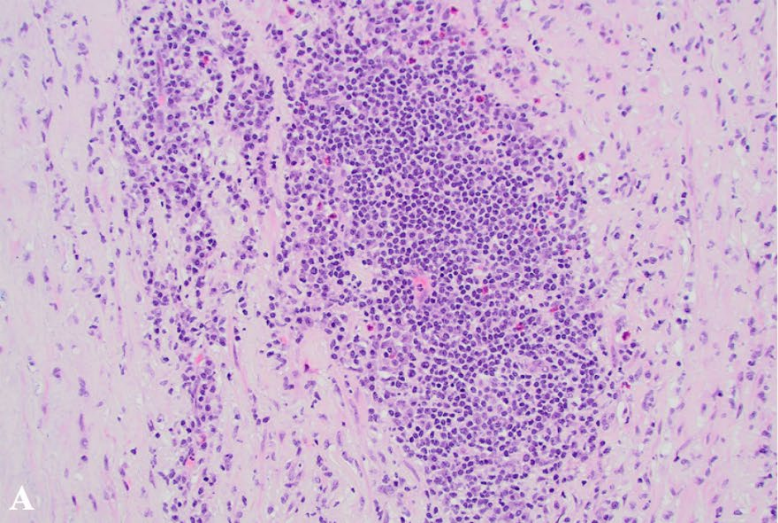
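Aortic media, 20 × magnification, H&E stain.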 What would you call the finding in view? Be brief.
lymphoplasmacytic, inflammatory infiltrate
